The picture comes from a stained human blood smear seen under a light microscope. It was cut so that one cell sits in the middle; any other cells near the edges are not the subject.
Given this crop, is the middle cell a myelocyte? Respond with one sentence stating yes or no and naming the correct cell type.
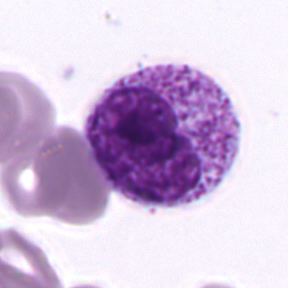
No, the centre cell counts as a metamyelocyte, not as a myelocyte.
